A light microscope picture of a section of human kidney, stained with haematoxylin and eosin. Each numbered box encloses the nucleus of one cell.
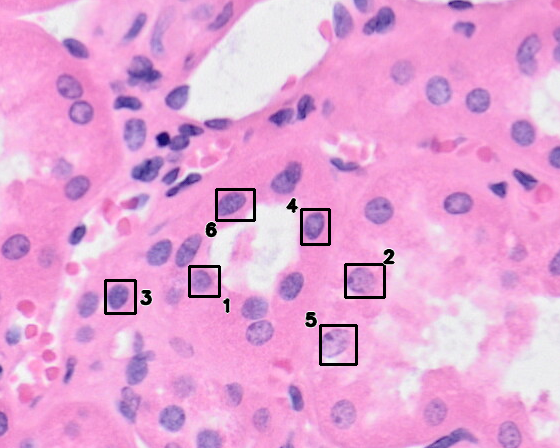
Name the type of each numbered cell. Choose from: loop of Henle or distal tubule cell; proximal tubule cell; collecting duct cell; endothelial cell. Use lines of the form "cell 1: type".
cell 1: loop of Henle or distal tubule cell
cell 2: proximal tubule cell
cell 3: loop of Henle or distal tubule cell
cell 4: loop of Henle or distal tubule cell
cell 5: proximal tubule cell
cell 6: loop of Henle or distal tubule cell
